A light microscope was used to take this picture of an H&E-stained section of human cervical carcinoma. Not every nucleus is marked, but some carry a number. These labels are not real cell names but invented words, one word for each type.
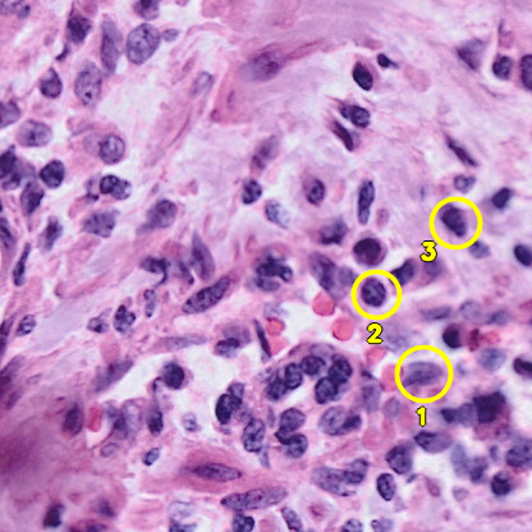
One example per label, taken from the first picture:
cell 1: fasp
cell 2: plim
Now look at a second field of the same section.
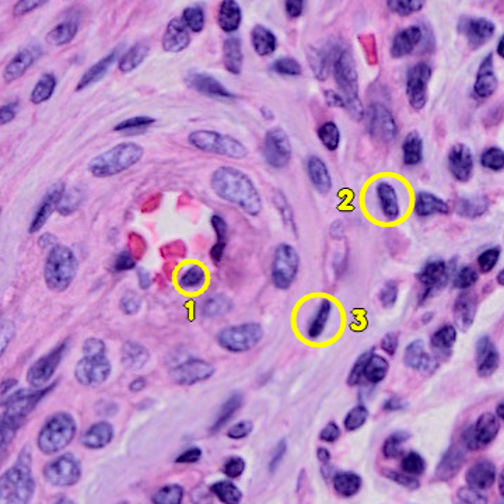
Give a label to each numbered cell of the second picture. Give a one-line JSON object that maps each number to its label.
{"1": "fasp", "2": "plim", "3": "plim"}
